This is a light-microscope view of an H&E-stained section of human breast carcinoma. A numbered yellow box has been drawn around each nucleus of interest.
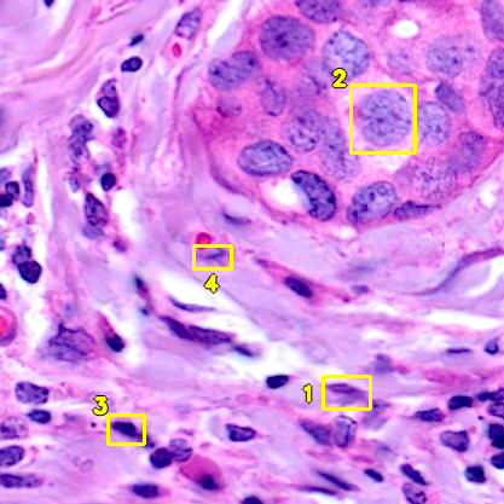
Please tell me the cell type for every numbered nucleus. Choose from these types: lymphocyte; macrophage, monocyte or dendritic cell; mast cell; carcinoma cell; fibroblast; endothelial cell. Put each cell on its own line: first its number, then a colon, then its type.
1: fibroblast
2: carcinoma cell
3: lymphocyte
4: endothelial cell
